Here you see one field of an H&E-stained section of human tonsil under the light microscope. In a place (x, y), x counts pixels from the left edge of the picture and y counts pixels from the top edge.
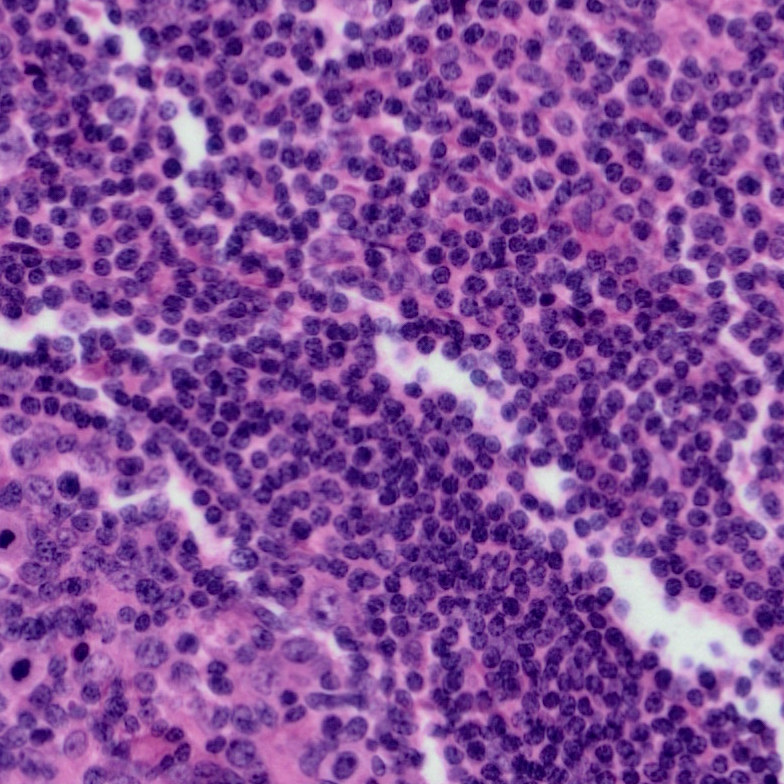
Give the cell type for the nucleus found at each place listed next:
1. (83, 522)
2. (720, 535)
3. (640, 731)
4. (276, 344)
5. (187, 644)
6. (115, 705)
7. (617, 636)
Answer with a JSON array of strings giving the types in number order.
["proliferating B cell", "small lymphocyte", "small lymphocyte", "small lymphocyte", "proliferating B cell", "proliferating B cell", "small lymphocyte"]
